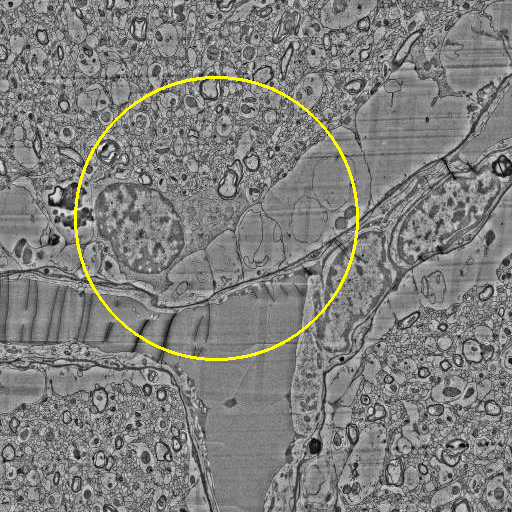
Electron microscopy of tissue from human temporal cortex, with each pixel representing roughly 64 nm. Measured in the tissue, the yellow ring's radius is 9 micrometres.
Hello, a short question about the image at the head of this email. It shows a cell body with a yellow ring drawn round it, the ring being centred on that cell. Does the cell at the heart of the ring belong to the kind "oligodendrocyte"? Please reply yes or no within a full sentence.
Yes, the cell at the heart of the ring in that image is of that kind.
